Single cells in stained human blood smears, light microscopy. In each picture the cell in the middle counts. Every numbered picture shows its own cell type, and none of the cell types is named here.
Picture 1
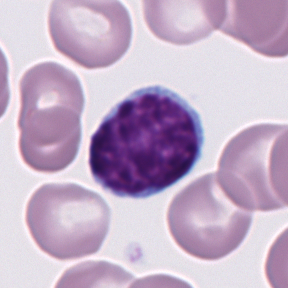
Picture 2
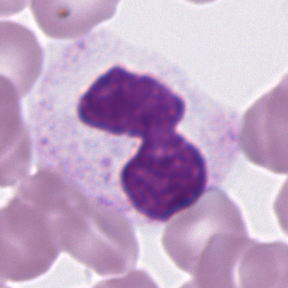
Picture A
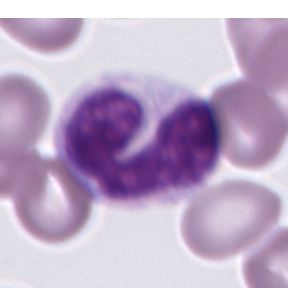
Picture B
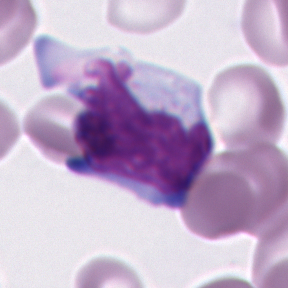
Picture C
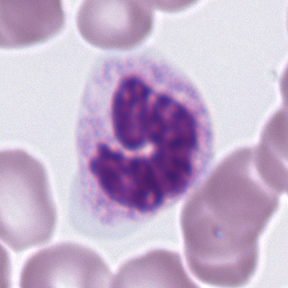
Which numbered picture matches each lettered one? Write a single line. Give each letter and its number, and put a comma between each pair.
A 2, B 1, C 2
